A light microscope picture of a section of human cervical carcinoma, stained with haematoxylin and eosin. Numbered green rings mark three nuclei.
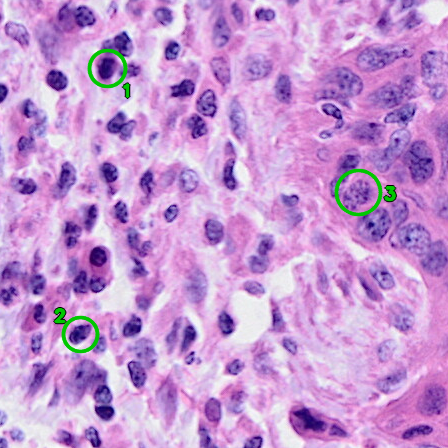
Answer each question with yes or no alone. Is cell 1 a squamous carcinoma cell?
no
